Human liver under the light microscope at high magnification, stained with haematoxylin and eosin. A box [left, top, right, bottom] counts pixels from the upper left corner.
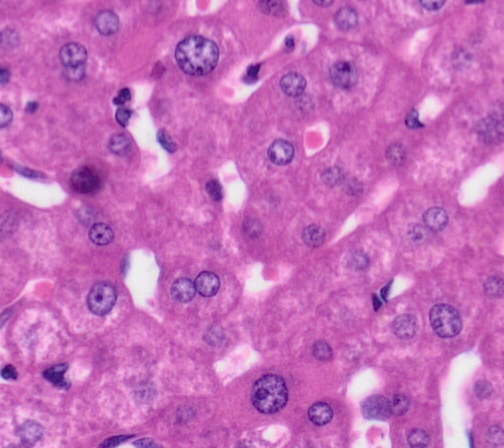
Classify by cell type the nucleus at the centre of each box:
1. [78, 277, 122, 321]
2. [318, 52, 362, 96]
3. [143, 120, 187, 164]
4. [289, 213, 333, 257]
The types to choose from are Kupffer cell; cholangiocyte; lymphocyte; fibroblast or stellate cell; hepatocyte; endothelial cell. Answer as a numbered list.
1. hepatocyte
2. hepatocyte
3. endothelial cell
4. hepatocyte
